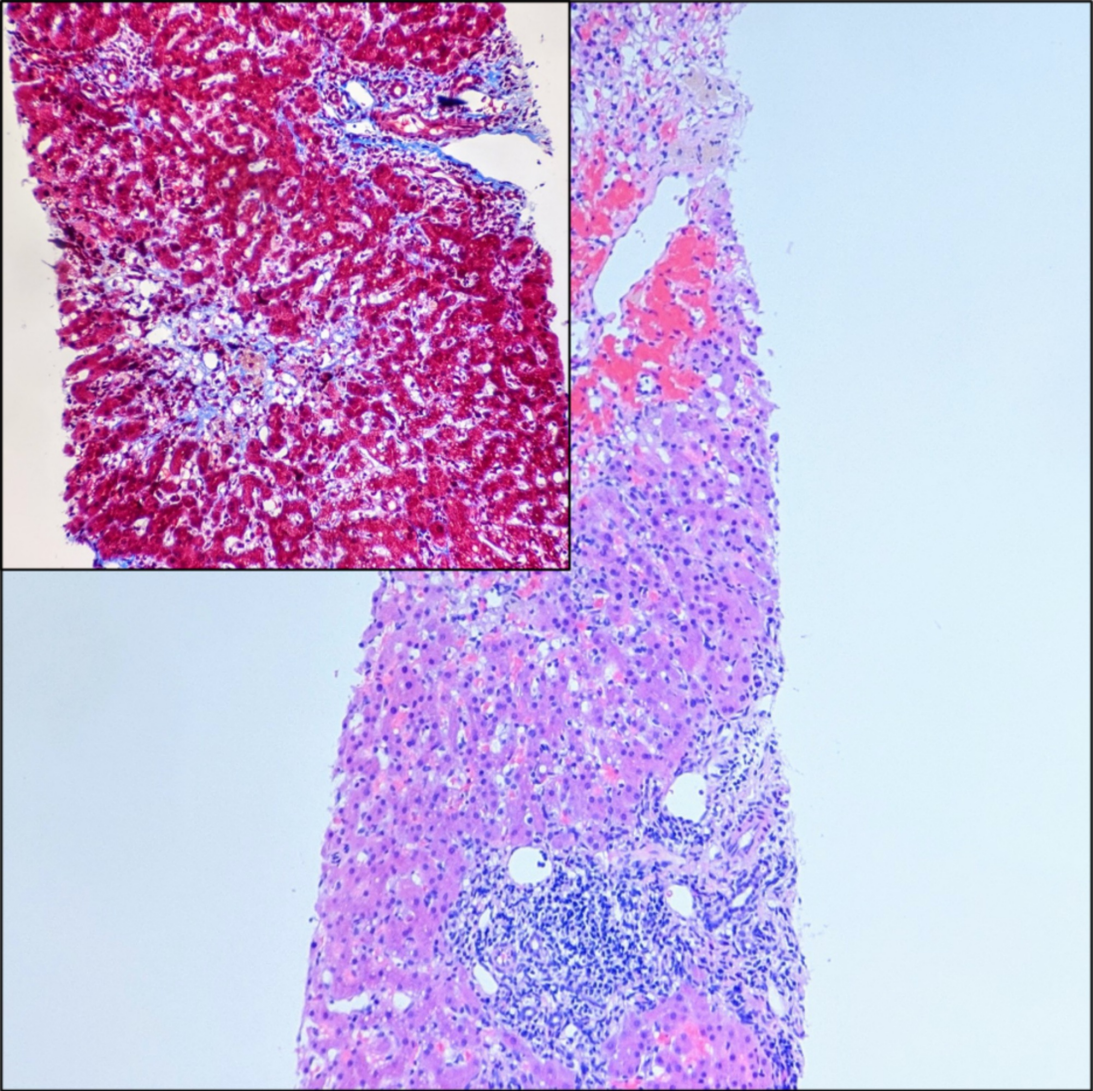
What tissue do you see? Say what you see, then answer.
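Plates of large polygonal cells with pink cytoplasm and central round nuclei. A portal area with small vessels and ducts in the lower part of the core.
Liver parenchyma.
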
